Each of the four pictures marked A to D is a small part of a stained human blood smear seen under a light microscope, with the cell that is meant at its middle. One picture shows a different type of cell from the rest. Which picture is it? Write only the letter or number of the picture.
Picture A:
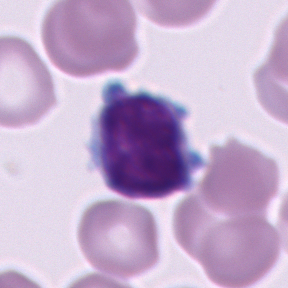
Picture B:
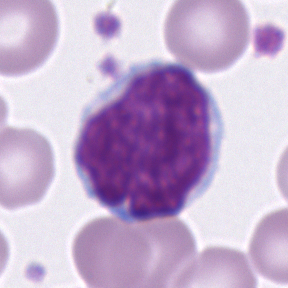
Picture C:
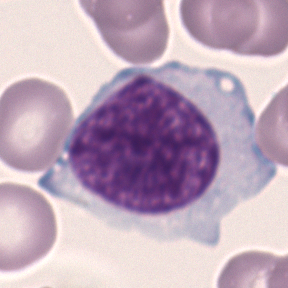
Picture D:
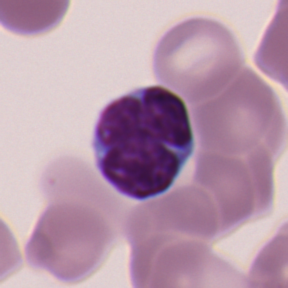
C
